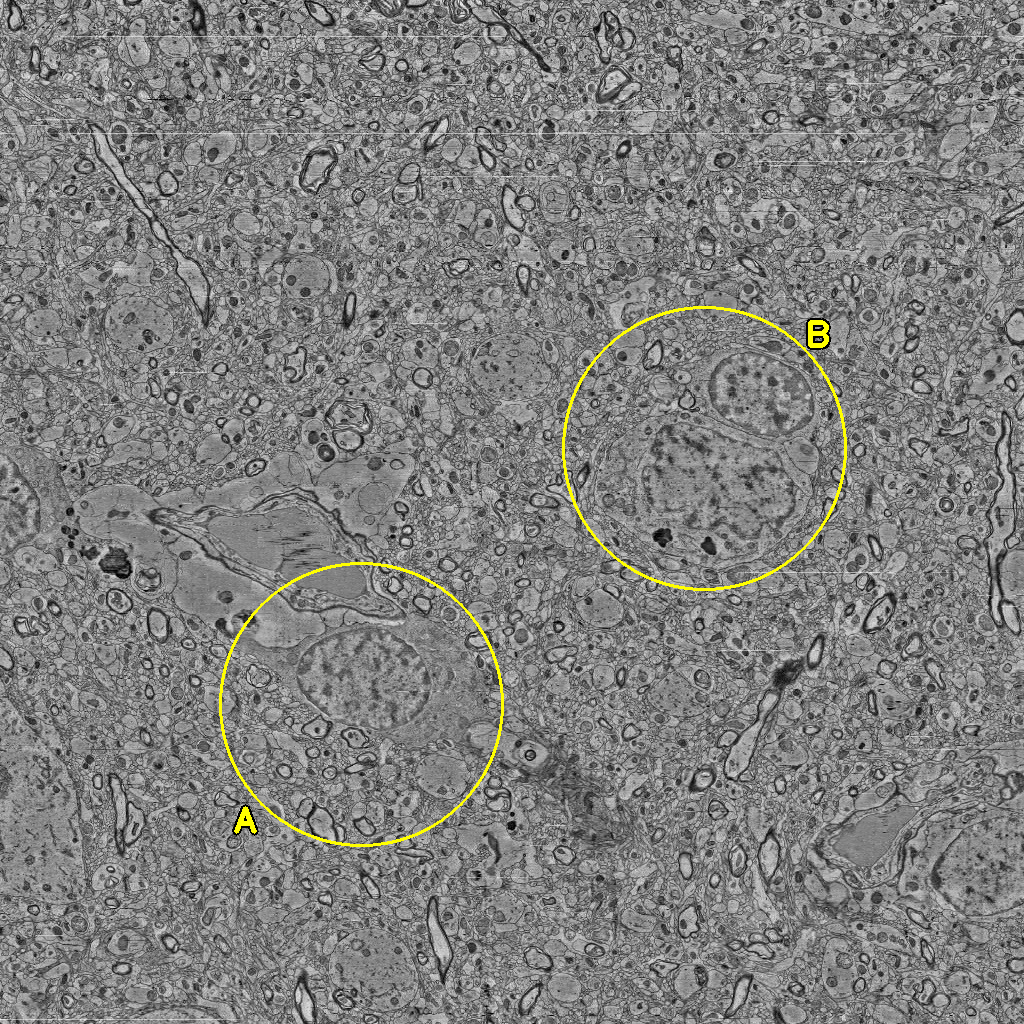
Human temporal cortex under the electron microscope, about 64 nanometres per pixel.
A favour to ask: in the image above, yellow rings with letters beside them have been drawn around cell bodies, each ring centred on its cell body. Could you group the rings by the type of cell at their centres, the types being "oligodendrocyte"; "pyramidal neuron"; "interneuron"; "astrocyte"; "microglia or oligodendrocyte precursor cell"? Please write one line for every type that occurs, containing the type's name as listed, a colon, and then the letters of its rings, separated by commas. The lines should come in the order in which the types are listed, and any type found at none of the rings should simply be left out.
oligodendrocyte: A
interneuron: B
